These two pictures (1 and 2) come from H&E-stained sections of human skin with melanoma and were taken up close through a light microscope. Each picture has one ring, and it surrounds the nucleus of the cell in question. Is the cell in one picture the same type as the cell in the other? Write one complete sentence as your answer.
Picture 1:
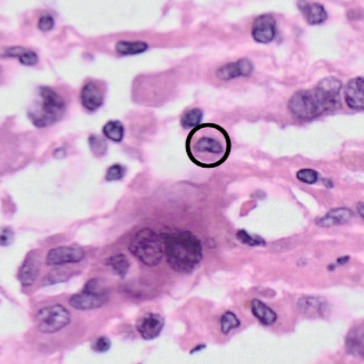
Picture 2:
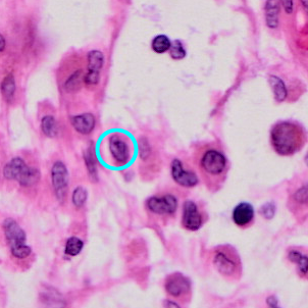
Yes, both are “macrophages or monocytes”.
